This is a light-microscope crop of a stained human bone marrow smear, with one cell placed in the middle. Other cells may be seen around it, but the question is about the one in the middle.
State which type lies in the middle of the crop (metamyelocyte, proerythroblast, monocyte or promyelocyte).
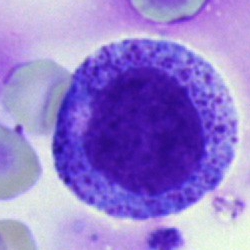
promyelocyte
